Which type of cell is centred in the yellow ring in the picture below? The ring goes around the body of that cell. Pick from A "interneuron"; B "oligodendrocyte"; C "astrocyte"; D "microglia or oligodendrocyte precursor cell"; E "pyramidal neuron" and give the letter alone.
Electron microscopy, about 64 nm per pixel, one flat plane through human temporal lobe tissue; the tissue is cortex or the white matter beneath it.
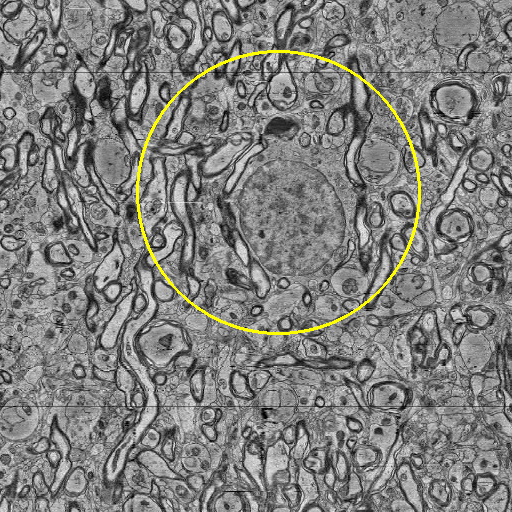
B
